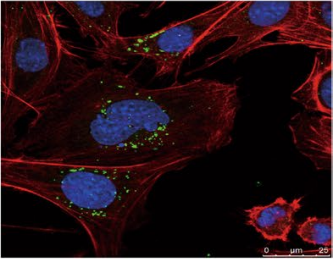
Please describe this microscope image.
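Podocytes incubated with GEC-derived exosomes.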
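Red fibres run as long parallel bundles along the cell bodies and outline their edges. Further green dots are scattered in the cytoplasm of neighbouring cells near their nuclei. A small rounded cell with dense red staining lies at the lower edge.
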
